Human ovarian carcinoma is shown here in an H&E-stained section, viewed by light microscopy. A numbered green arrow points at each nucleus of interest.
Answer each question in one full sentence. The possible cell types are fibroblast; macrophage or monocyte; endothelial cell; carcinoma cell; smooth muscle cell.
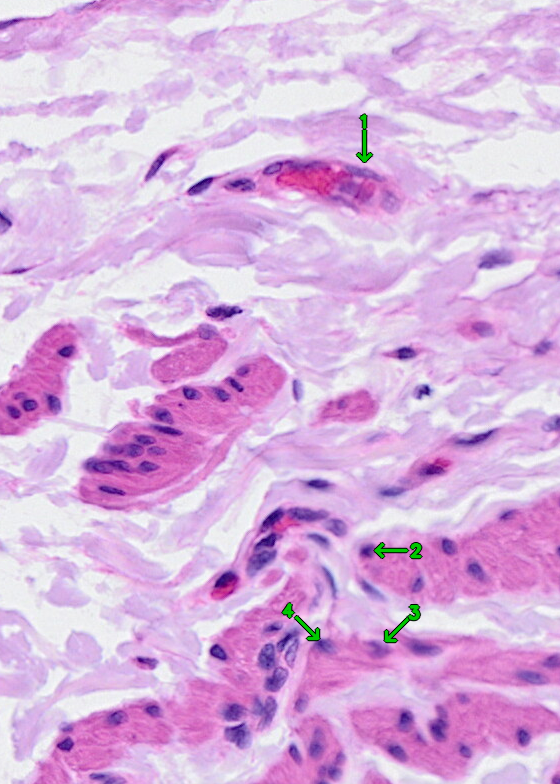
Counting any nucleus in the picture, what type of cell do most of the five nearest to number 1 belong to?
Endothelial cells account for more than half of the five nuclei nearest to number 1.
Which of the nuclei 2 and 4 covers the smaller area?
Number 2 is smaller, since number 4 takes up about 2 times as much area.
